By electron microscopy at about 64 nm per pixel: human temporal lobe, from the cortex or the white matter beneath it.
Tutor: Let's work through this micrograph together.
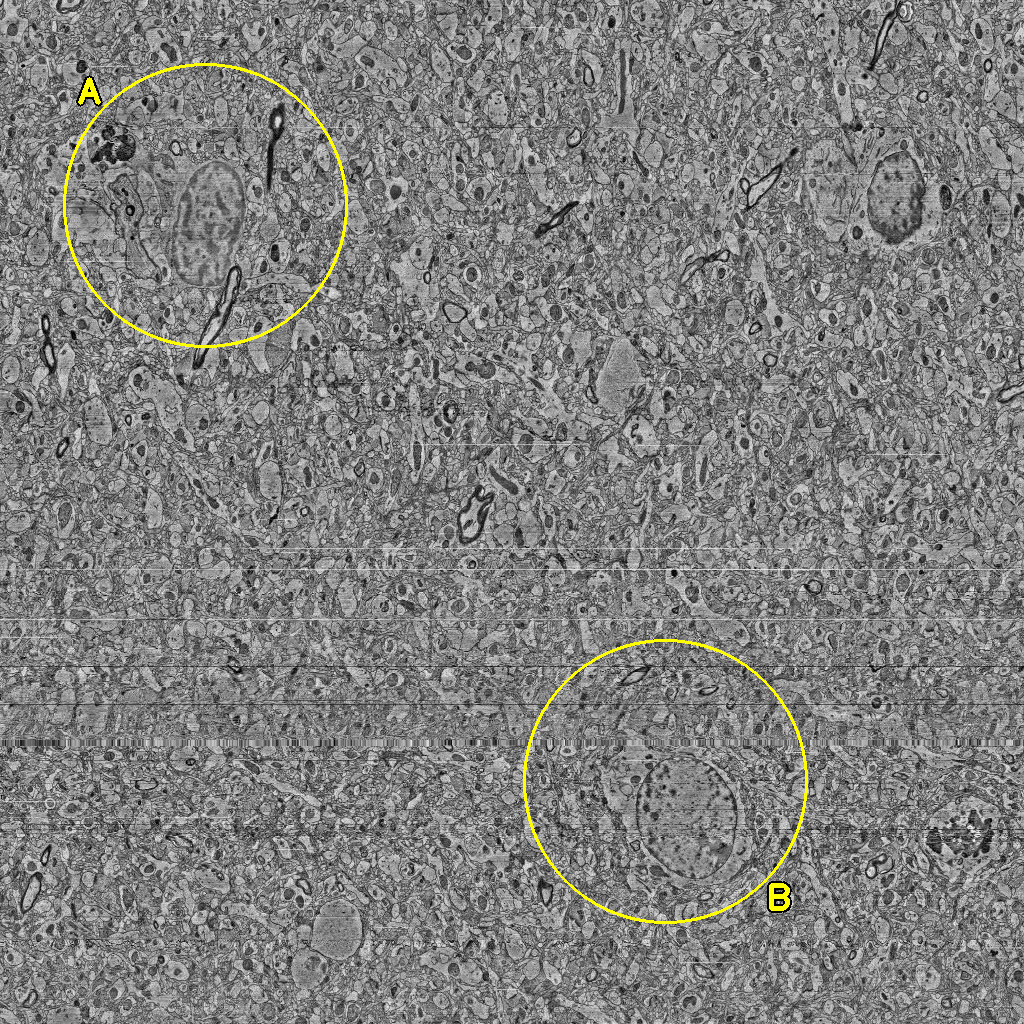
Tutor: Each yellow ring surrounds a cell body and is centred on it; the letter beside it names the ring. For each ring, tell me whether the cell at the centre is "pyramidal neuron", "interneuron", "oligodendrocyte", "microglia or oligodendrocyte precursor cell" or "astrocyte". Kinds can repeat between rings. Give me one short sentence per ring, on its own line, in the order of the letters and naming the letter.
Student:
The ring labelled A is centred on an oligodendrocyte.
The ring labelled B is centred on an astrocyte.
